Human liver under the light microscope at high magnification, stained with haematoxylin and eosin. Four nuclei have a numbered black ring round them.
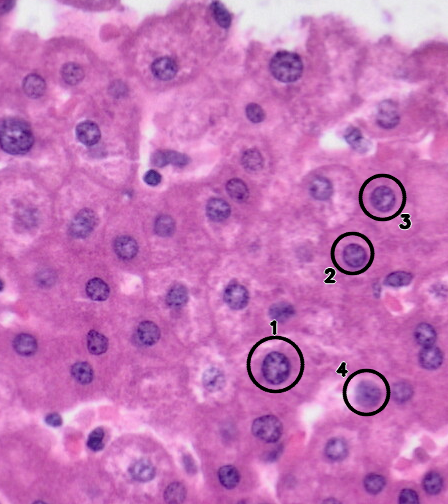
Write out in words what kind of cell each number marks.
Cells 1, 2 and 3 are hepatocytes. Cell 4 is an endothelial cell.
